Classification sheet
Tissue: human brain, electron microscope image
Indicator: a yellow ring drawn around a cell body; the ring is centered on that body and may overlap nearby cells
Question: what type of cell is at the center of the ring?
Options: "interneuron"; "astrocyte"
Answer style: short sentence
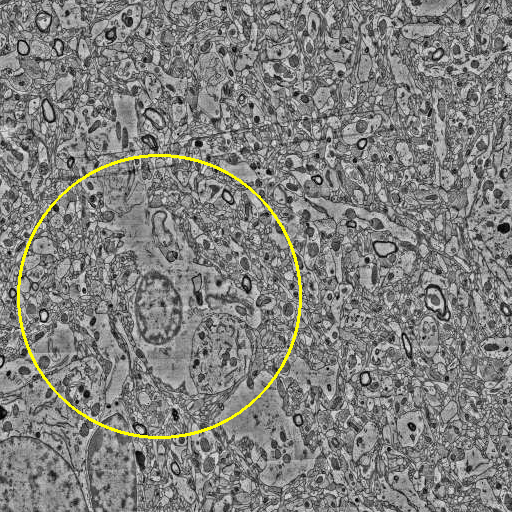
At the ring's center is an astrocyte.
